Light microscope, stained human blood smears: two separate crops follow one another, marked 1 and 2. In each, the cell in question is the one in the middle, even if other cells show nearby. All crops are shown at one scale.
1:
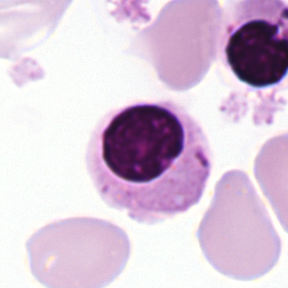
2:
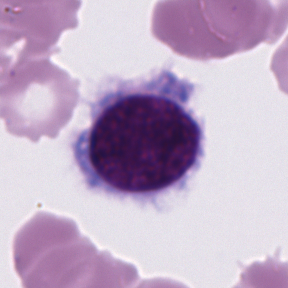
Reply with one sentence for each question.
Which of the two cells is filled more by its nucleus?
It is the cell in crop 2 that is filled more by its nucleus.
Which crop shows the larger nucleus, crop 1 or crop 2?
The nucleus in crop 2 is larger, with about 2 times the area of the one in crop 1.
